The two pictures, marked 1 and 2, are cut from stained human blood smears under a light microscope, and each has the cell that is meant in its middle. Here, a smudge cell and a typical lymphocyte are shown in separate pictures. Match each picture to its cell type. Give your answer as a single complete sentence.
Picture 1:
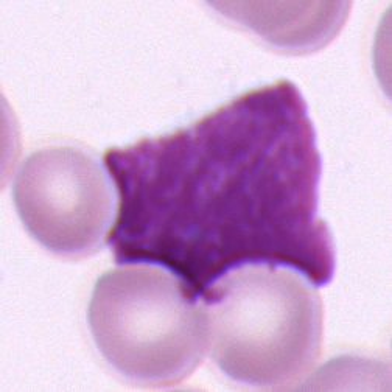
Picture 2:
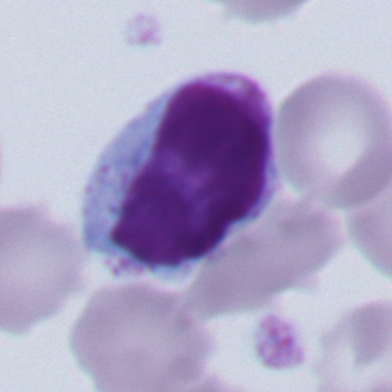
The cell in picture 1 is a smudge cell, and the one in picture 2 is a typical lymphocyte.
